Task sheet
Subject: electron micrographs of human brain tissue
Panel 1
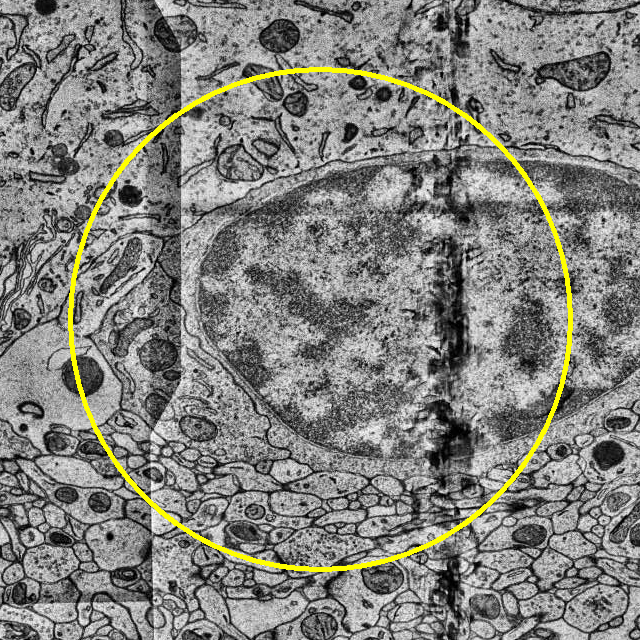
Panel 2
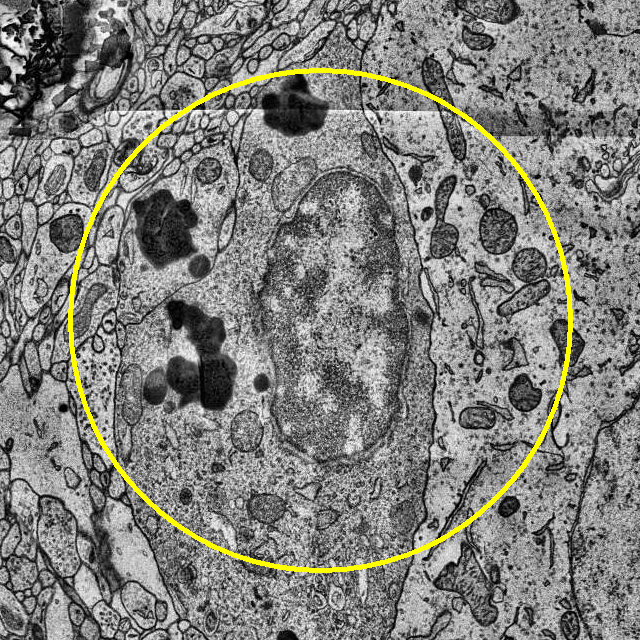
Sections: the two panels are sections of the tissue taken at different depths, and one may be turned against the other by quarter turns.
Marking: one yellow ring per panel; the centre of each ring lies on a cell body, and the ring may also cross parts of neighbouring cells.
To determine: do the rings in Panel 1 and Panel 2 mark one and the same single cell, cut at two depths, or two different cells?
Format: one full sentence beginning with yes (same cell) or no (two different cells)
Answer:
Yes, a single cell is marked twice, once by each yellow ring.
